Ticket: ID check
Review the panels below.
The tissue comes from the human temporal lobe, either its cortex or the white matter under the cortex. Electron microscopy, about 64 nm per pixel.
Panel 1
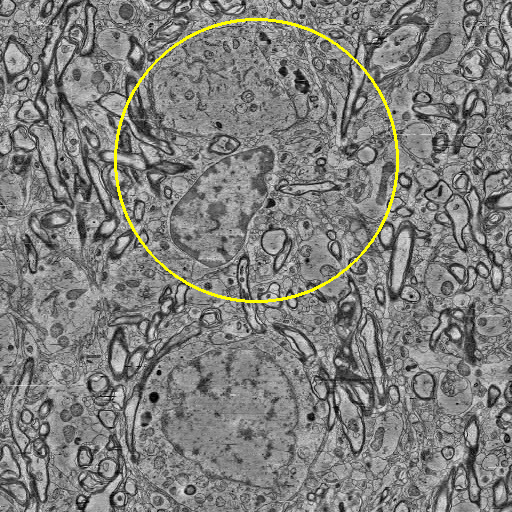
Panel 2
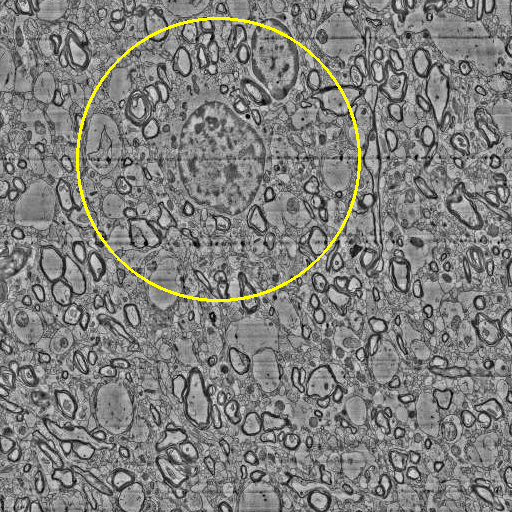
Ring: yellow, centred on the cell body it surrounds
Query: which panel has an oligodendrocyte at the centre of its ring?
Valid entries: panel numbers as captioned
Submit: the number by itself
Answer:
2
